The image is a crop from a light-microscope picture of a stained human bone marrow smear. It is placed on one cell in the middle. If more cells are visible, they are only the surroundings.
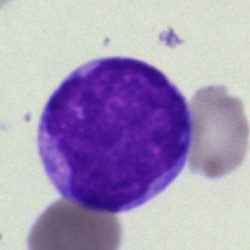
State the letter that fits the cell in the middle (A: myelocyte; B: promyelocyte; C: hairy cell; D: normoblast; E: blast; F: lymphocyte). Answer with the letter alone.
E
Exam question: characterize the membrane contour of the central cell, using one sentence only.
If you check the edge, you will find it smooth without projections.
